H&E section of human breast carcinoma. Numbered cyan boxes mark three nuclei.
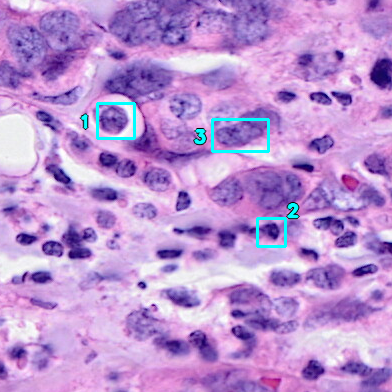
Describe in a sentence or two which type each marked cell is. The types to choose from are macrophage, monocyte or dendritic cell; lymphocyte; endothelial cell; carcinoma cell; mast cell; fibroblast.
Cells 1 and 3 are carcinoma cells. Cell 2 is a lymphocyte.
